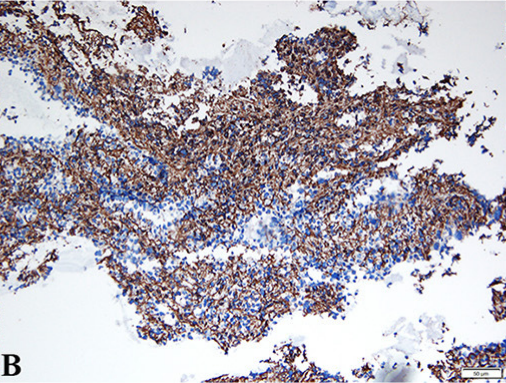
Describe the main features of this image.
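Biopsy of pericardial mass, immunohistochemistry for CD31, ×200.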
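The brown stain outlines densely packed, elongated and irregular cells that form streaming, interlacing sheets across the tissue fragment. Blue-counterstained nuclei are seen among the stained cells, and a band of more blue, less brown tissue runs through the middle. The edges of the fragment are torn and frayed, with clear background around it. The stain is diffuse rather than confined to a few scattered cells.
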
